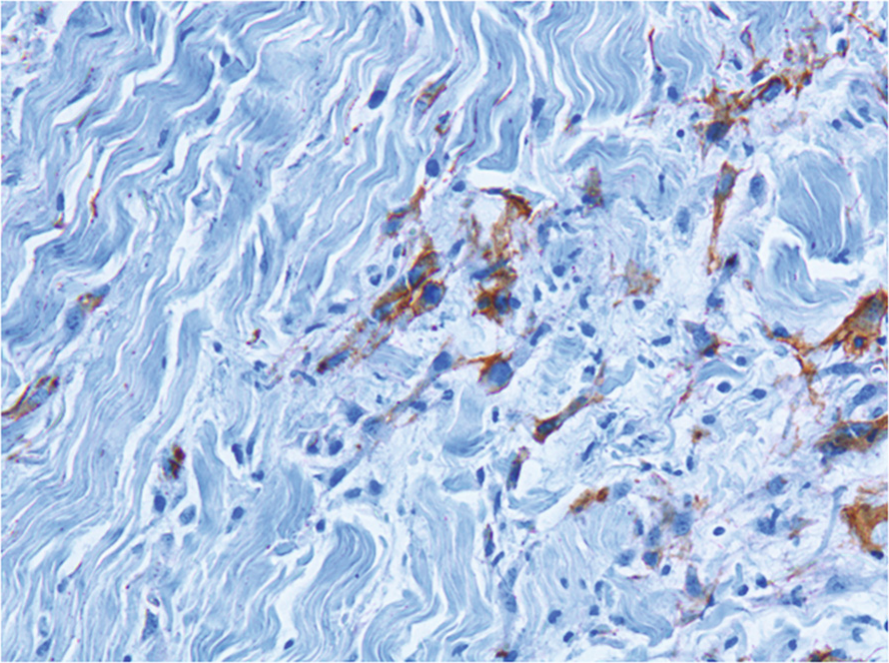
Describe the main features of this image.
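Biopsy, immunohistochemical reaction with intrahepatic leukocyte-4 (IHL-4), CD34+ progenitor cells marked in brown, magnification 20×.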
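The brown-stained cells are spindle-shaped to stellate. Their thin, branching cytoplasmic processes reach out between the fibre bundles, and some of these processes run into fine brown threads. The cells have oval to elongated blue nuclei. They are loosely gathered in a band that crosses the middle and right of the field, and a few lie singly at the left edge. The fibre bundles on the left are densely packed and strongly wavy, while the central area is looser and more cellular.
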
